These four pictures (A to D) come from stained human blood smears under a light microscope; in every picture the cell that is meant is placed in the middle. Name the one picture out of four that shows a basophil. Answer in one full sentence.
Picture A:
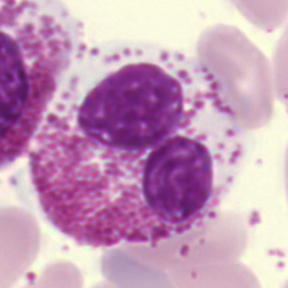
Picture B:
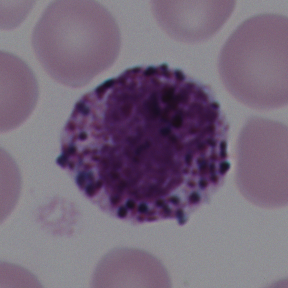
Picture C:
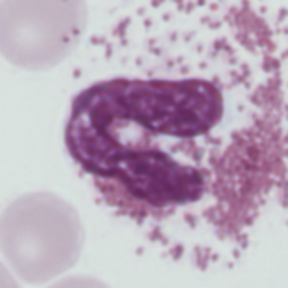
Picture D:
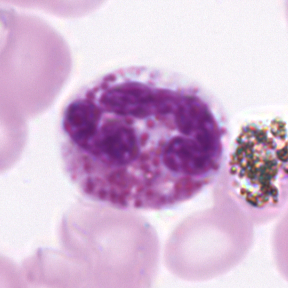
The basophil is the one in picture B.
